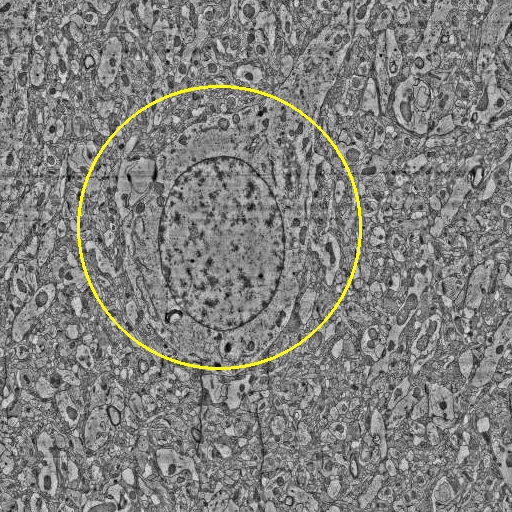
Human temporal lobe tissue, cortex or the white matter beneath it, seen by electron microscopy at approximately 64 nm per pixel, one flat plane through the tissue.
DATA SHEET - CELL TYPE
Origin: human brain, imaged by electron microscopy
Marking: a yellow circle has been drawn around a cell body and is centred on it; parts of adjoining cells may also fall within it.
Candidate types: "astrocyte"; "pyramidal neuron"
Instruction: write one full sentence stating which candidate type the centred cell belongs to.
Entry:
The cell body at the centre of the yellow ring in this micrograph belongs to a pyramidal neuron.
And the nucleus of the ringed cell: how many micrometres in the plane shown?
Roughly 11 by 8 micrometres is the size of the nucleus in this plane.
